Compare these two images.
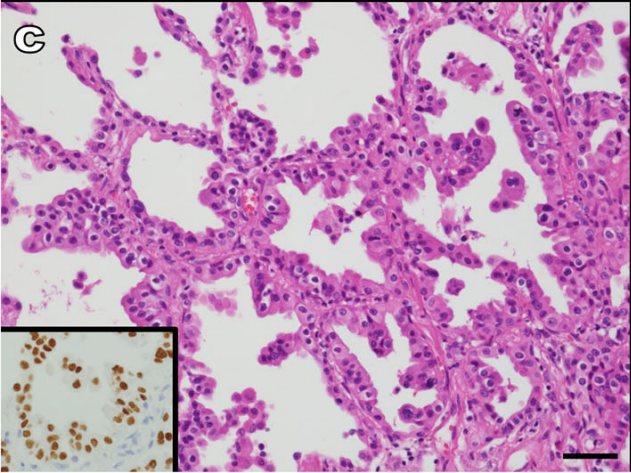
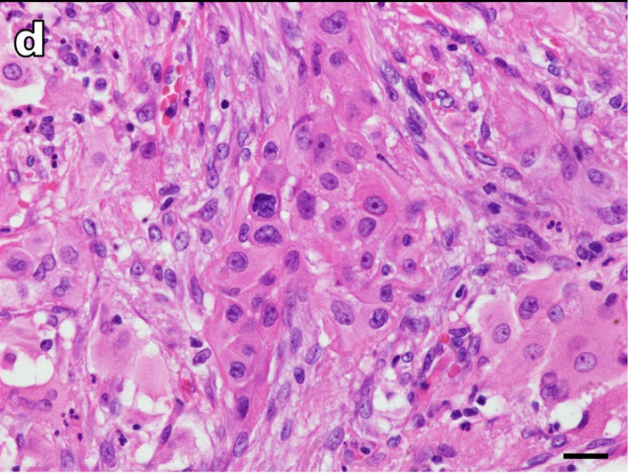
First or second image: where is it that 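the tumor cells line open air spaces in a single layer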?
the first image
